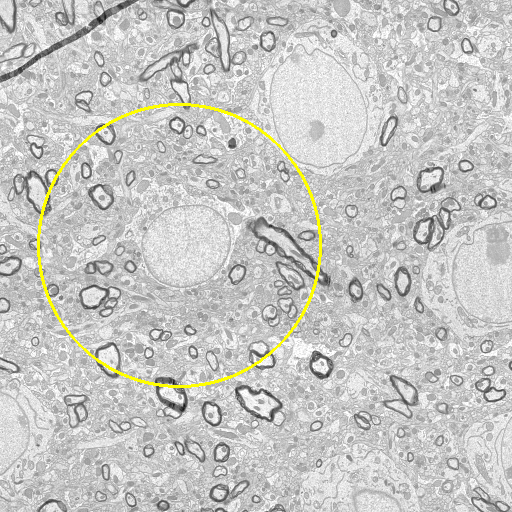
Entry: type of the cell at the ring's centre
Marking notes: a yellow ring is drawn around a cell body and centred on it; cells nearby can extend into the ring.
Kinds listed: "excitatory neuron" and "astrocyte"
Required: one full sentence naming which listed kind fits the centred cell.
My entry names an astrocyte as the cell whose body the yellow ring centres on.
